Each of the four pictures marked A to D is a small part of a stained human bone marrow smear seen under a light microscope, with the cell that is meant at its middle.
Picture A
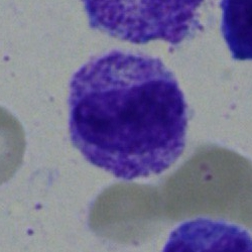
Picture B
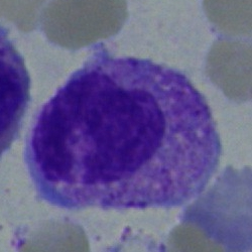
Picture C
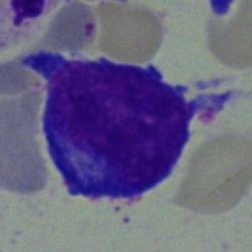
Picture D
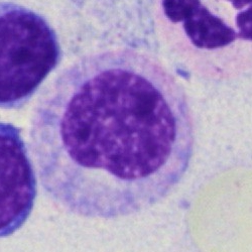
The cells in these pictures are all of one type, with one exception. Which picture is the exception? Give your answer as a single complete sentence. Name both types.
Unlike the rest, which show myelocytes, picture C shows a proerythroblast.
